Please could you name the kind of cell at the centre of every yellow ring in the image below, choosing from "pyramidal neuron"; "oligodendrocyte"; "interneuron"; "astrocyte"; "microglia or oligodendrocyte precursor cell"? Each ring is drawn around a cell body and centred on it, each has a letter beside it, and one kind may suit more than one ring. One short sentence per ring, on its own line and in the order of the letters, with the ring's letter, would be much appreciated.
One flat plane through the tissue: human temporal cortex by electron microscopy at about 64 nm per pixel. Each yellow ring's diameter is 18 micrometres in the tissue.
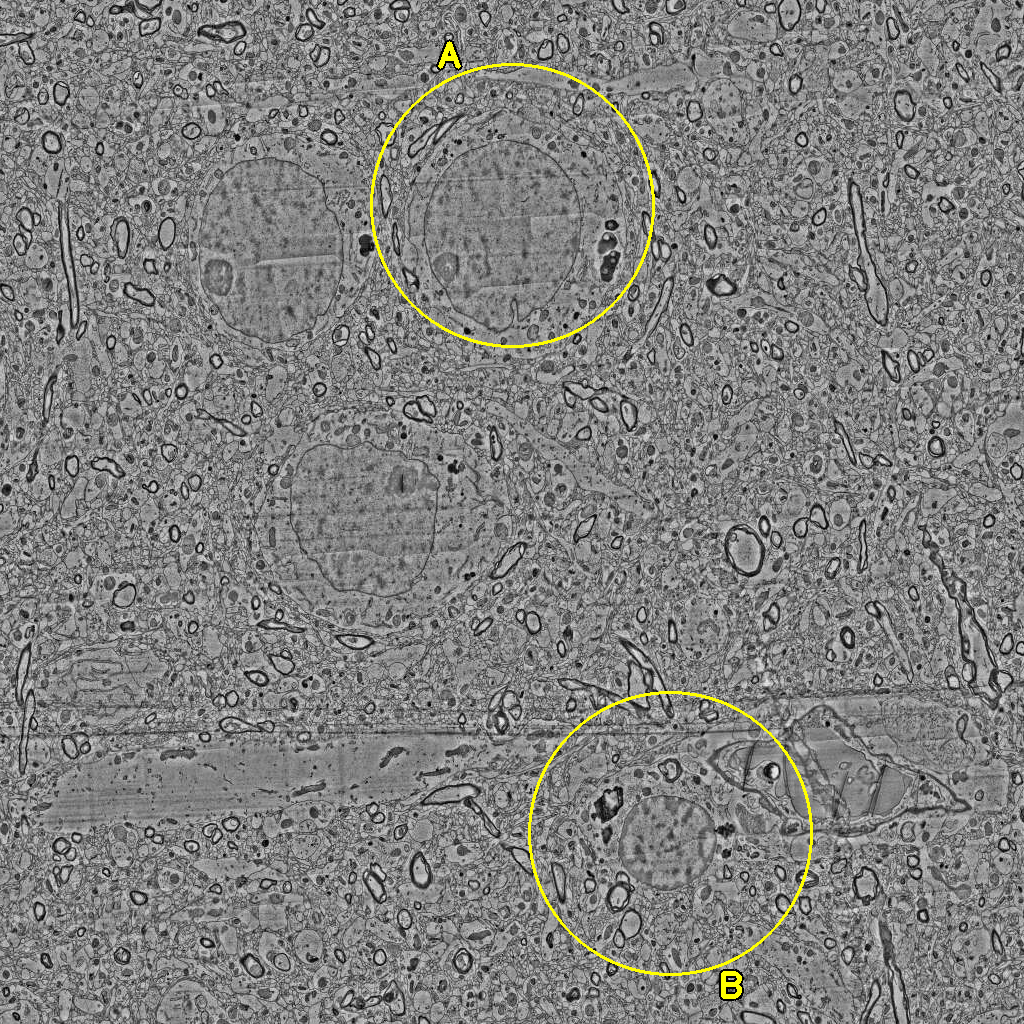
The cell in the middle of ring A is a pyramidal neuron.
The cell in the middle of ring B is an oligodendrocyte.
